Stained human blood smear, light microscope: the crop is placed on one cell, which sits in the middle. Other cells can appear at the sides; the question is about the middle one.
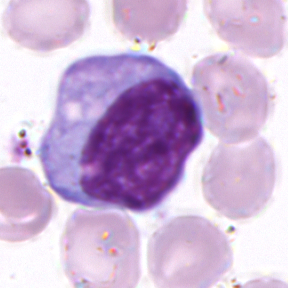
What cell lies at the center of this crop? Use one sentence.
Looking at the middle of the crop, the cell there is a plasma cell.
